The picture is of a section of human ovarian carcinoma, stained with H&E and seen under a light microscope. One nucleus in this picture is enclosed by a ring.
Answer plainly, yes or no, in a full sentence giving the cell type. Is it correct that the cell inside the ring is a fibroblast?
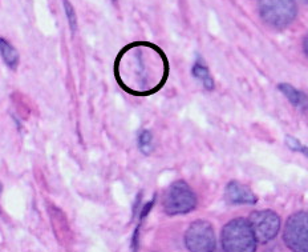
Yes, the cell inside the ring is correctly named as a fibroblast.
